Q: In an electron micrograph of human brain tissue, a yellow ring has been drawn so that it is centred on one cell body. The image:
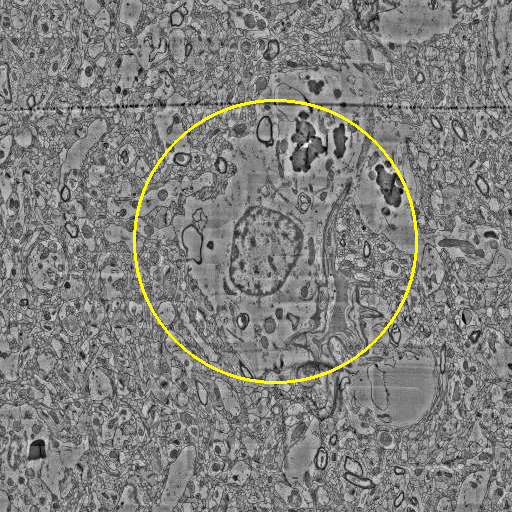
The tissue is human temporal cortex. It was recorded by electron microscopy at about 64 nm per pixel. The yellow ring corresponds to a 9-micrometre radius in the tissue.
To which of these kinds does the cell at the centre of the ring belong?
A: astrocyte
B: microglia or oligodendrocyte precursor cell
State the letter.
A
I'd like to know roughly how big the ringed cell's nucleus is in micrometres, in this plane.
Approximately 6 micrometres long and 5 micrometres wide, in this plane.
